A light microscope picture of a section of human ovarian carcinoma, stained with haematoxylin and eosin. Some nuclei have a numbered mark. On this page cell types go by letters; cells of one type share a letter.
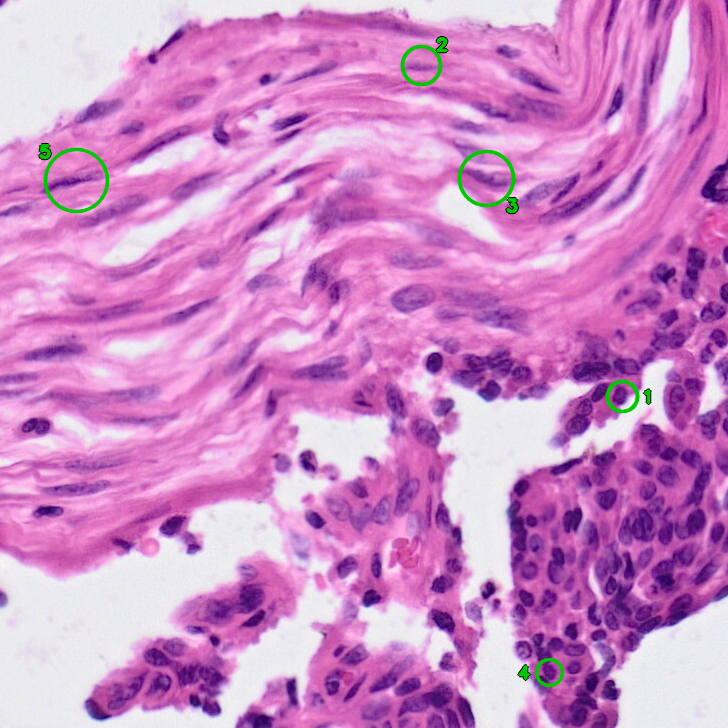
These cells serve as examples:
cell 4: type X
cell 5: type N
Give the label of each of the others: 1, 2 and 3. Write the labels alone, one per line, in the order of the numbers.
type X
type N
type N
